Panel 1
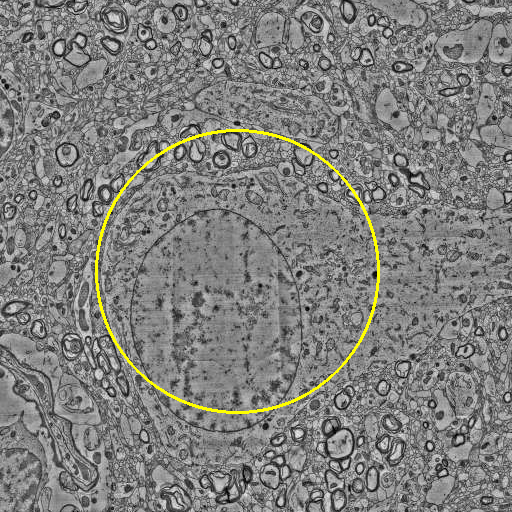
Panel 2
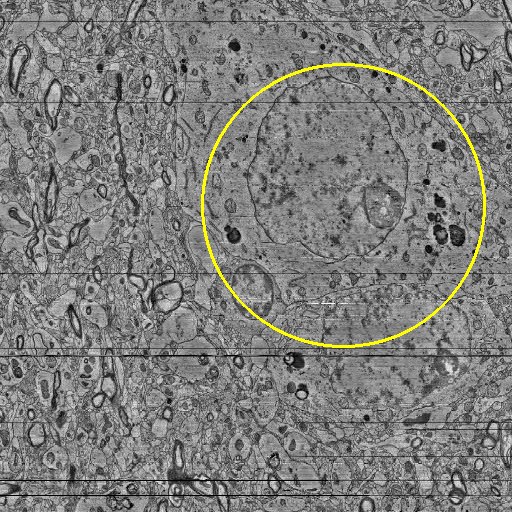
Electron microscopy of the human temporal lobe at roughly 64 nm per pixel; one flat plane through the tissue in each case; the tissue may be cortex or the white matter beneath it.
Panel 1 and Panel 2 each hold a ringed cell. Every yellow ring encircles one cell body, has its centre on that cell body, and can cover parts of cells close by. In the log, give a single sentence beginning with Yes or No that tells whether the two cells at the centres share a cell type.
Yes, in Panel 1 and Panel 2 the centred cells share a cell type.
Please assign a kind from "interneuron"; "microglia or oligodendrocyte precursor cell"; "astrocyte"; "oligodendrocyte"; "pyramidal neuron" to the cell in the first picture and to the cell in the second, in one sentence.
Both the first and the second picture show a pyramidal neuron in the ring.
